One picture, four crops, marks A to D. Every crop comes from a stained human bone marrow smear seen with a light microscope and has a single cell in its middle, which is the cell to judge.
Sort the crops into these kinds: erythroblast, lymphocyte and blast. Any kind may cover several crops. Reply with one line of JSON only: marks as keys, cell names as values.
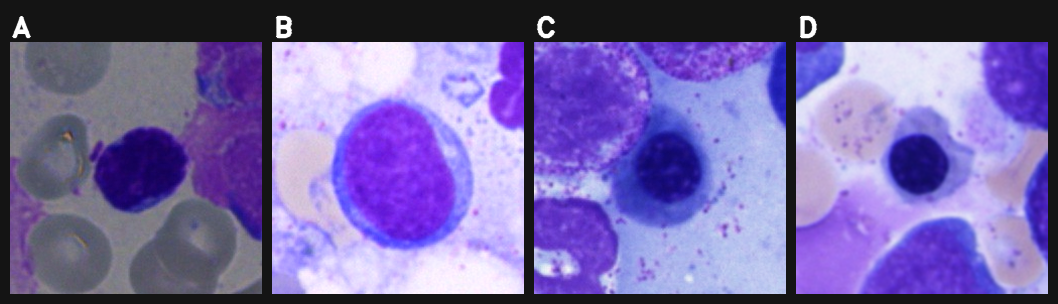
{"A": "lymphocyte", "B": "blast", "C": "erythroblast", "D": "erythroblast"}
